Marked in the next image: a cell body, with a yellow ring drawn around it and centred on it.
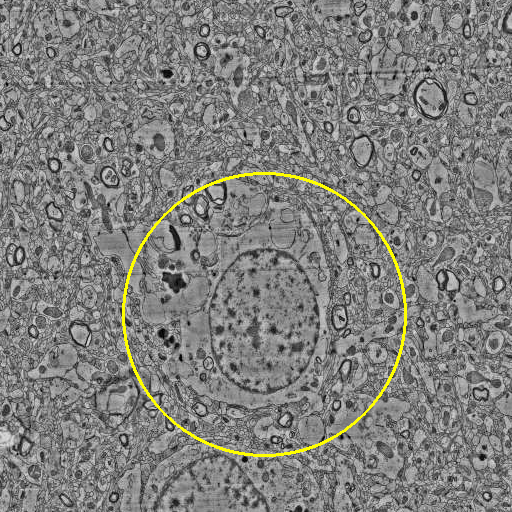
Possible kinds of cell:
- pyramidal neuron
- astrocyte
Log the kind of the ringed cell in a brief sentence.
The ringed cell body is that of an astrocyte.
